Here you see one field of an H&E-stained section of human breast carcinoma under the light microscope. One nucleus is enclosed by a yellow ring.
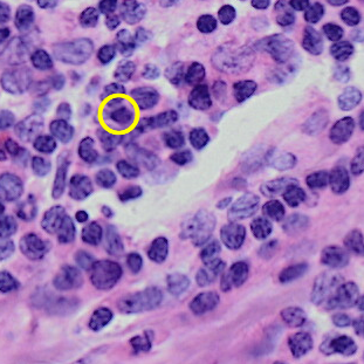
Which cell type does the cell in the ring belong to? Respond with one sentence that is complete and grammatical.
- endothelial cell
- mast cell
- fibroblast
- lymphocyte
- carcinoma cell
As to its cell type, the cell in the ring is a lymphocyte.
